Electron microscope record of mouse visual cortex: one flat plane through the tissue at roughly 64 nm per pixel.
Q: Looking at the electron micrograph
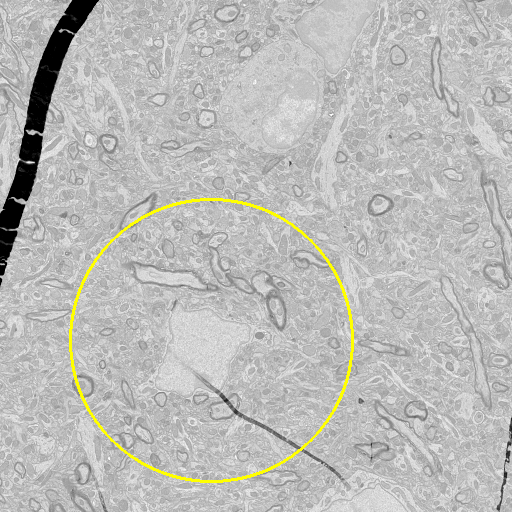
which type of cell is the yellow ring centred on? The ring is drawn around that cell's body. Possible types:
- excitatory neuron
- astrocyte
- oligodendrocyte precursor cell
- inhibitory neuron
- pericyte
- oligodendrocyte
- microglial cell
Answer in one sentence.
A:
The yellow ring is centred on an oligodendrocyte precursor cell.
